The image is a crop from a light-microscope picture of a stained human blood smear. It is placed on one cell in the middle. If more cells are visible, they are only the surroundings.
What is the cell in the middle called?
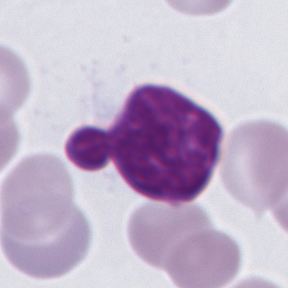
smudge cell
